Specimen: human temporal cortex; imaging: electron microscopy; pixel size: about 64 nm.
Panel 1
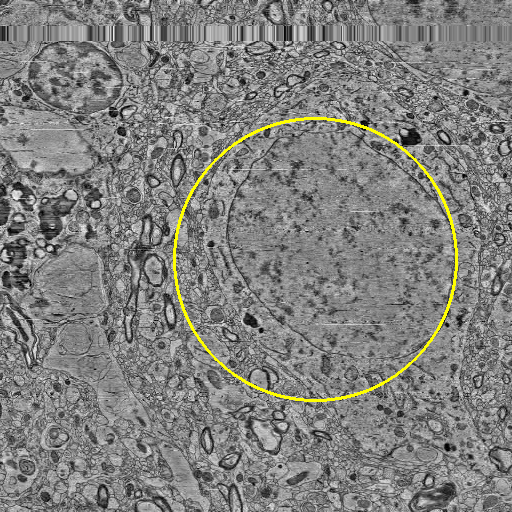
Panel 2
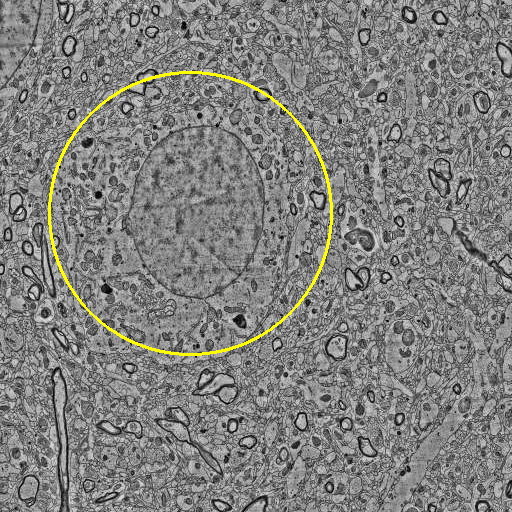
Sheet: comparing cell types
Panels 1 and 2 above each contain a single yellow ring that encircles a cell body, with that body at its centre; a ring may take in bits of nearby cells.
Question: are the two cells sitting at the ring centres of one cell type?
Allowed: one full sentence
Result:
No, the ring-centre cells in Panel 1 and Panel 2 are of two types.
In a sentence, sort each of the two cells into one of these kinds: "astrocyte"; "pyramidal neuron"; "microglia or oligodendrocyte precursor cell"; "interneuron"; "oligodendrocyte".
The first of the two cells is a pyramidal neuron, and the second is an interneuron.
